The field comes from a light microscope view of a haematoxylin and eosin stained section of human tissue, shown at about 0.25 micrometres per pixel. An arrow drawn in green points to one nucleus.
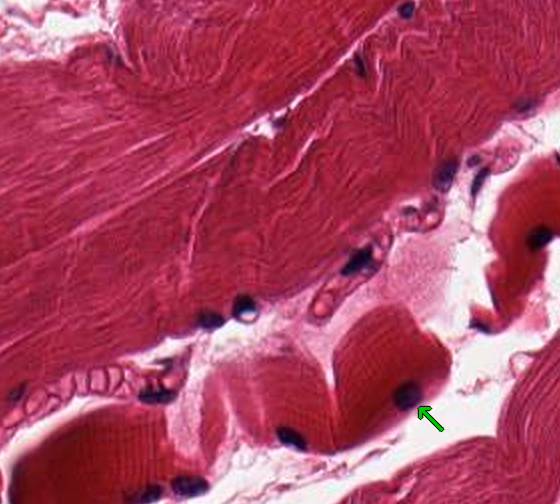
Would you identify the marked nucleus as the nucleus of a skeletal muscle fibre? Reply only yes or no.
yes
